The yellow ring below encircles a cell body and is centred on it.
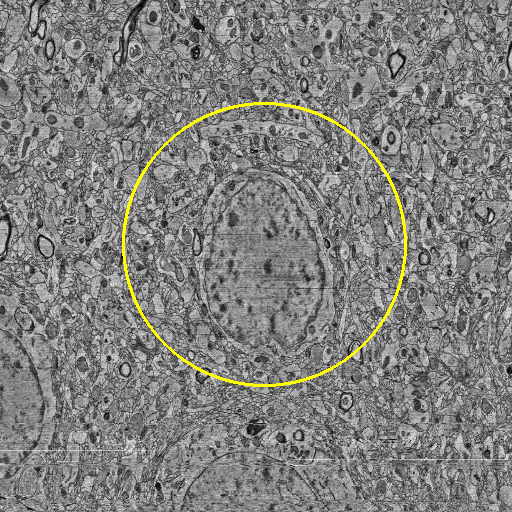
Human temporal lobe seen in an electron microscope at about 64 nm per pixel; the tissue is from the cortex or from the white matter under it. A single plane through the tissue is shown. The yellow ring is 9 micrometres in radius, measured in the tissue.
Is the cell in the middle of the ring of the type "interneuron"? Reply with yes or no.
yes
